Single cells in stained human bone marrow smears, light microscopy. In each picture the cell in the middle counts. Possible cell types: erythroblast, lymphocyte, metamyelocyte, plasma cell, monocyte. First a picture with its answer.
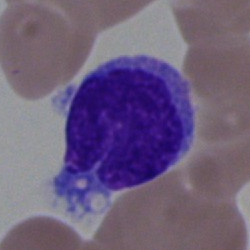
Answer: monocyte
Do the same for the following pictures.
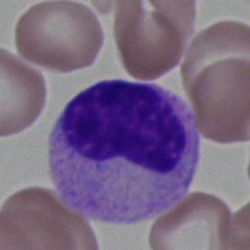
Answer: metamyelocyte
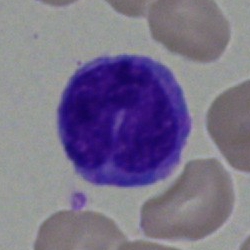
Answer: monocyte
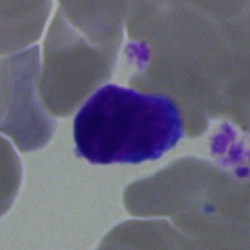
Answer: lymphocyte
